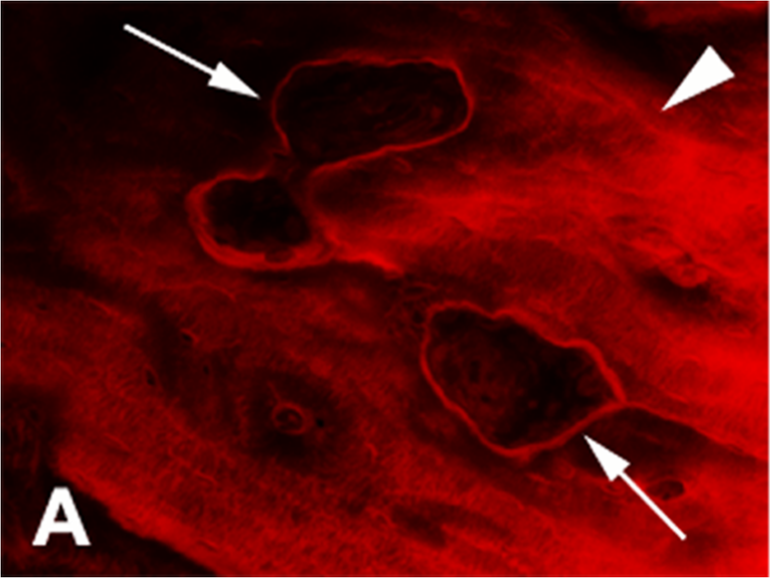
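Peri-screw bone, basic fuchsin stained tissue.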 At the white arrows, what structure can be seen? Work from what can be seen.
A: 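Cutting cavities. Irregular dark spaces lie within the red-stained bone matrix. Each space is rimmed by only a thin bright red line. No thick lining band or cell layer fills the spaces.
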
